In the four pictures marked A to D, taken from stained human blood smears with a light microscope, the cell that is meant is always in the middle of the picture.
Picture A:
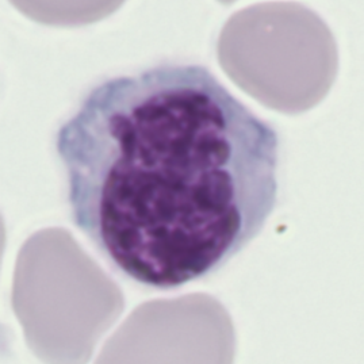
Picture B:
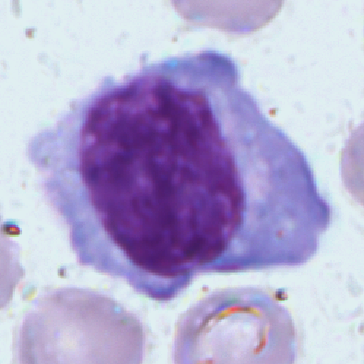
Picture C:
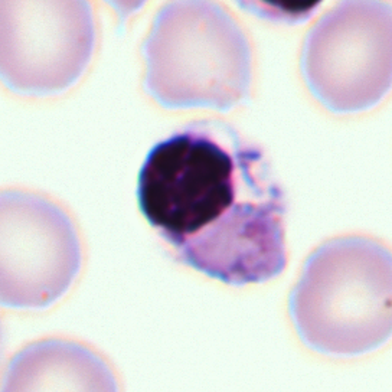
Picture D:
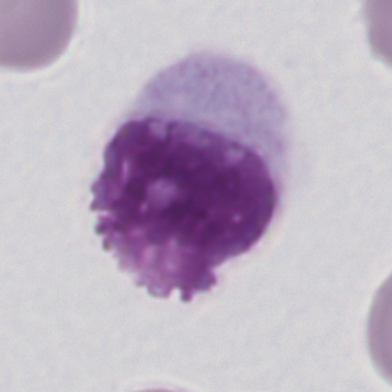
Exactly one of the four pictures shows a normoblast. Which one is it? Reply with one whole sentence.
The cell in picture C is the normoblast.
